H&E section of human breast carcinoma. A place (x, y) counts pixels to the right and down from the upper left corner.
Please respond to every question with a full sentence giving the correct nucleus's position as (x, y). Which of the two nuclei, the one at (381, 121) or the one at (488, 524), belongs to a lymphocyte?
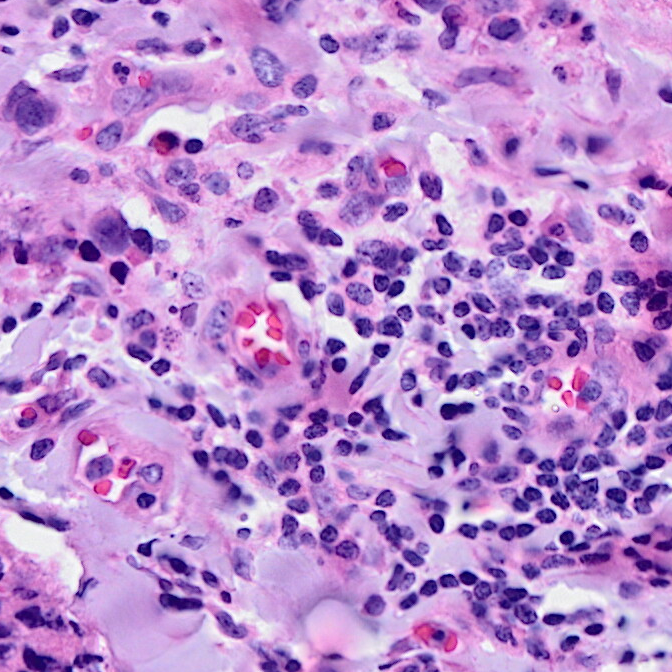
The nucleus contained in a lymphocyte is the one at (488, 524).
